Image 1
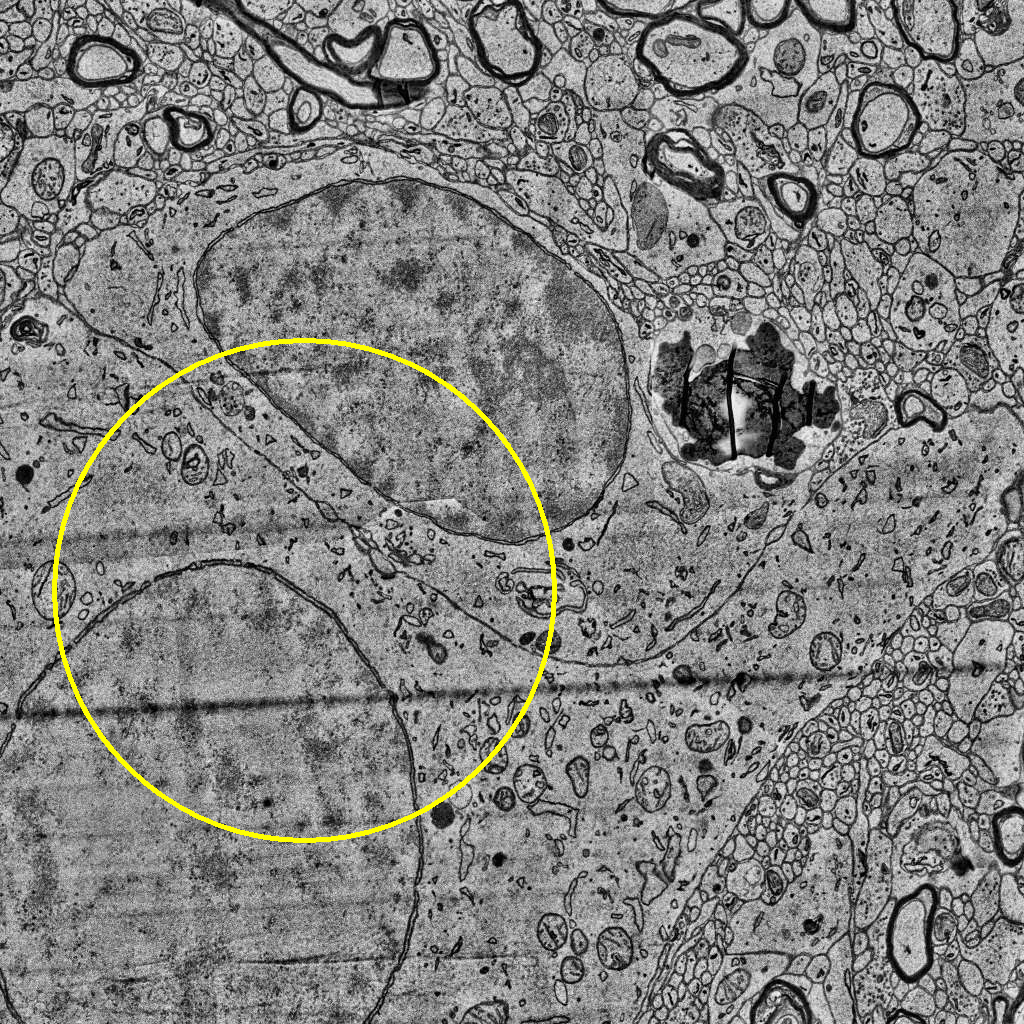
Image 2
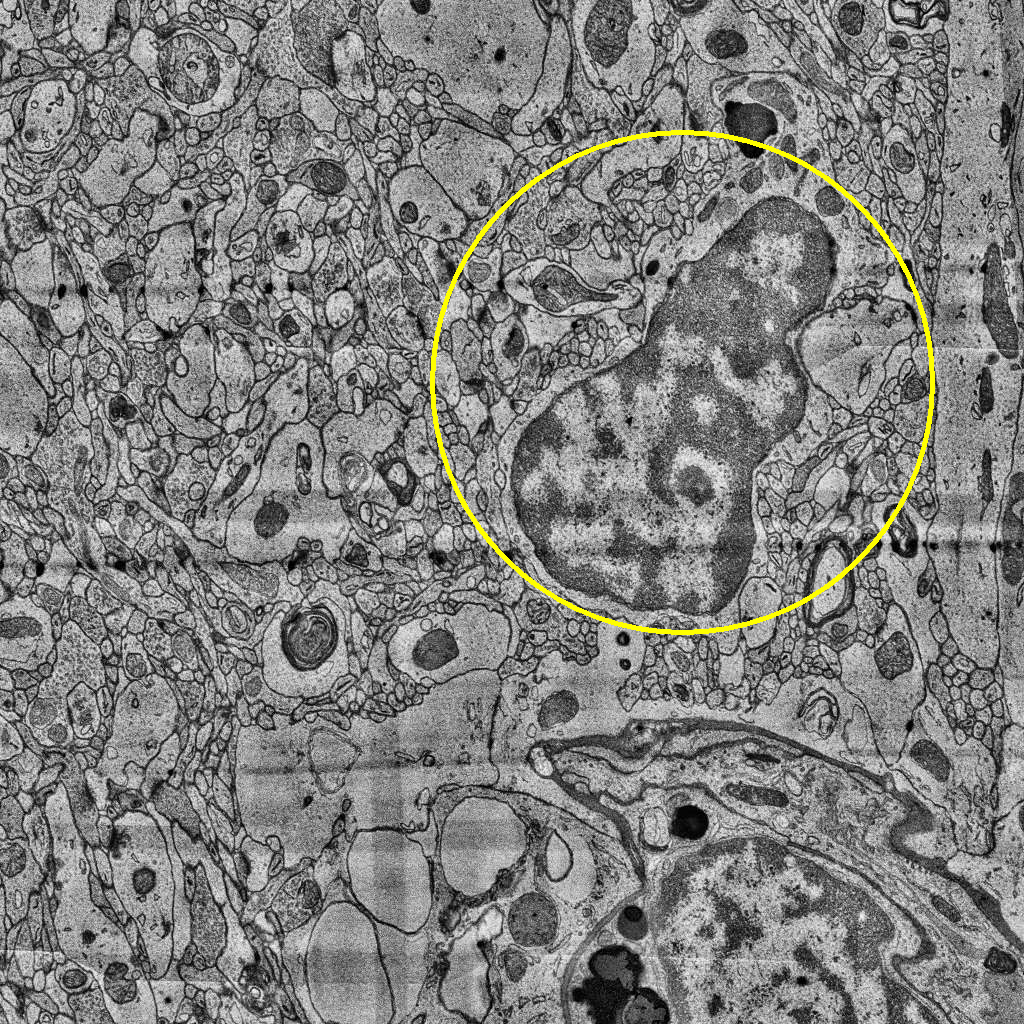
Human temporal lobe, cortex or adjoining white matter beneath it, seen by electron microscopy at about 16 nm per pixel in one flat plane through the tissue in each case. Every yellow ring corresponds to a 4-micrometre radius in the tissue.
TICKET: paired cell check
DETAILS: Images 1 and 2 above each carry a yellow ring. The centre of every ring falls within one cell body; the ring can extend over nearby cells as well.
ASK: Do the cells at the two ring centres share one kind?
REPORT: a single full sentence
No, the cells at the ring centres of Images 1 and 2 belong to two kinds.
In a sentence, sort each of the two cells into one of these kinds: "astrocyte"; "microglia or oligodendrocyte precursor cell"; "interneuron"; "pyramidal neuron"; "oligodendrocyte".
The first ring marks an oligodendrocyte, and the second ring marks a microglial cell or oligodendrocyte precursor cell.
